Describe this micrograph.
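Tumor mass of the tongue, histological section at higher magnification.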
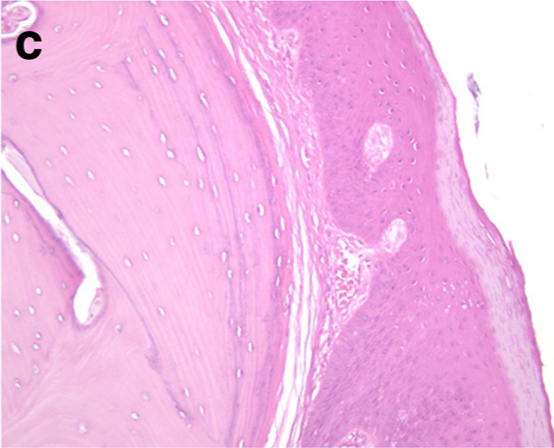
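On the left lies a dense, pale pink matrix crossed by fine parallel lines, the layered structure of mature lamellar bone; small oval spaces run along these layers, each a lacuna, and some hold a small cell, the osteocyte. A narrow canal cuts into the matrix at the upper left. A thin band of wavy, paler fibrous connective tissue separates the bone from the right side, where a thicker, more cellular pink layer with many small nuclei and a flattened surface forms a stratified squamous epithelium with a few small vessels beneath it. No lining cells are seen crowding the bone surface.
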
